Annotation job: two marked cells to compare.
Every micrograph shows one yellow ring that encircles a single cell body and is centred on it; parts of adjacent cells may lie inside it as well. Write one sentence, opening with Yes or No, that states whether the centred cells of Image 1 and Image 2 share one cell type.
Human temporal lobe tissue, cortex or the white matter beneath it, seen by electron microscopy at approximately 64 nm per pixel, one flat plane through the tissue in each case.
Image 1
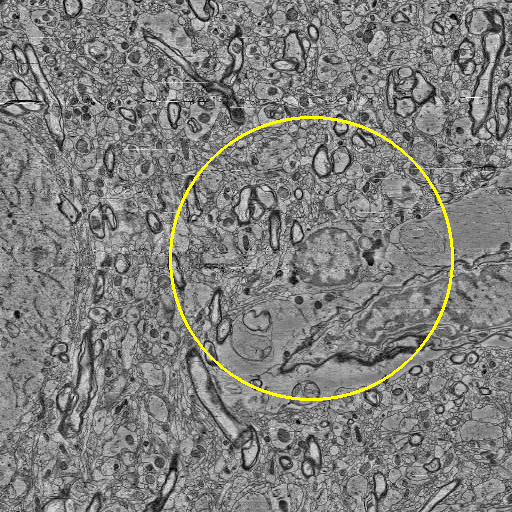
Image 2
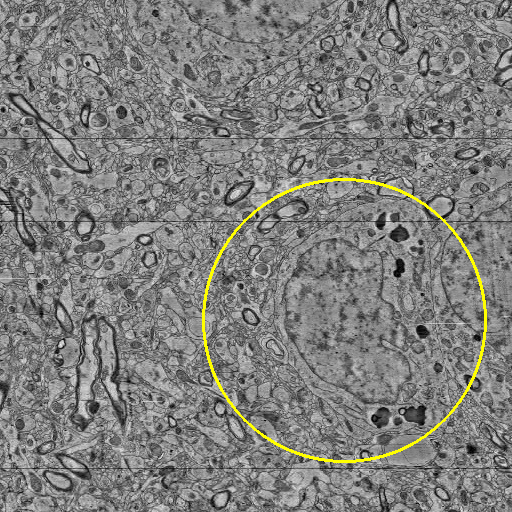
No, the cell centred in Image 1 and the cell centred in Image 2 are of two types.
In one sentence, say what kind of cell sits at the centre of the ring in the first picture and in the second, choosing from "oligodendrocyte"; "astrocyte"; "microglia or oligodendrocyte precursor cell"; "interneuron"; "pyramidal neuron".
The first picture's ringed cell is an oligodendrocyte, while the second picture's is an interneuron.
